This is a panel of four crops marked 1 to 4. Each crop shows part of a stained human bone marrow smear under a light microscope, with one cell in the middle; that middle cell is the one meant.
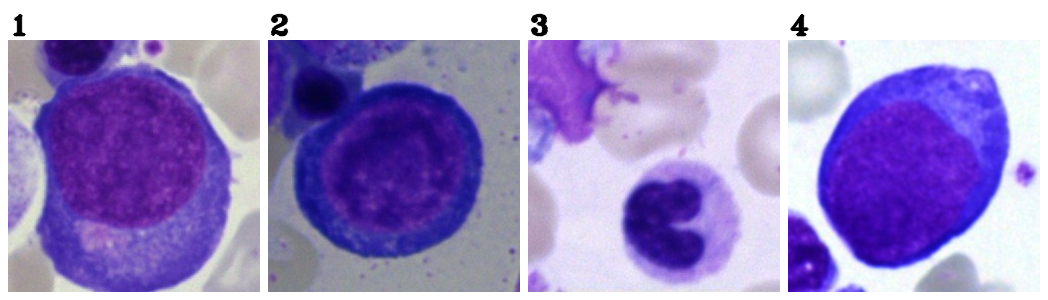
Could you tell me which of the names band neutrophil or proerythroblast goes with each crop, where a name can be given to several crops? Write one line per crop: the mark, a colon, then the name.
1: proerythroblast
2: proerythroblast
3: band neutrophil
4: proerythroblast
